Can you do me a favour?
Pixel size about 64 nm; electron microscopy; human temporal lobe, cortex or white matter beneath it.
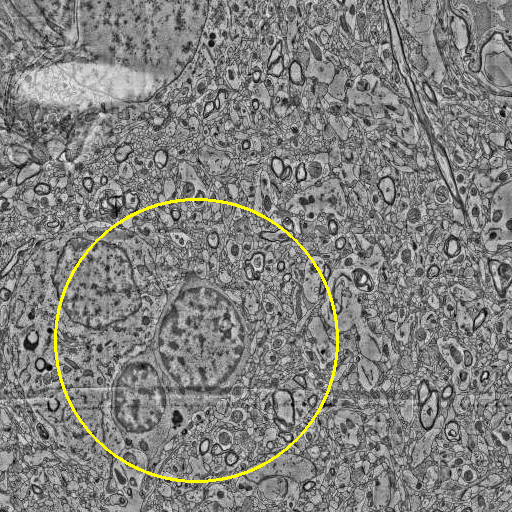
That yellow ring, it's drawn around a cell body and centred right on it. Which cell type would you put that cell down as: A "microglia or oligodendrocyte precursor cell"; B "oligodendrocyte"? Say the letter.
B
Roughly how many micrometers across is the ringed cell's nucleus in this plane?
About 7 by 6 micrometers, in this plane.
